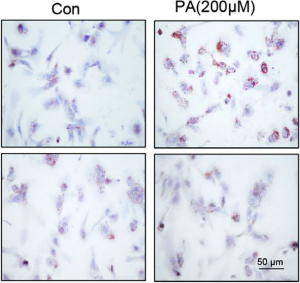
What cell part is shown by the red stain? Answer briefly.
intracellular lipids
